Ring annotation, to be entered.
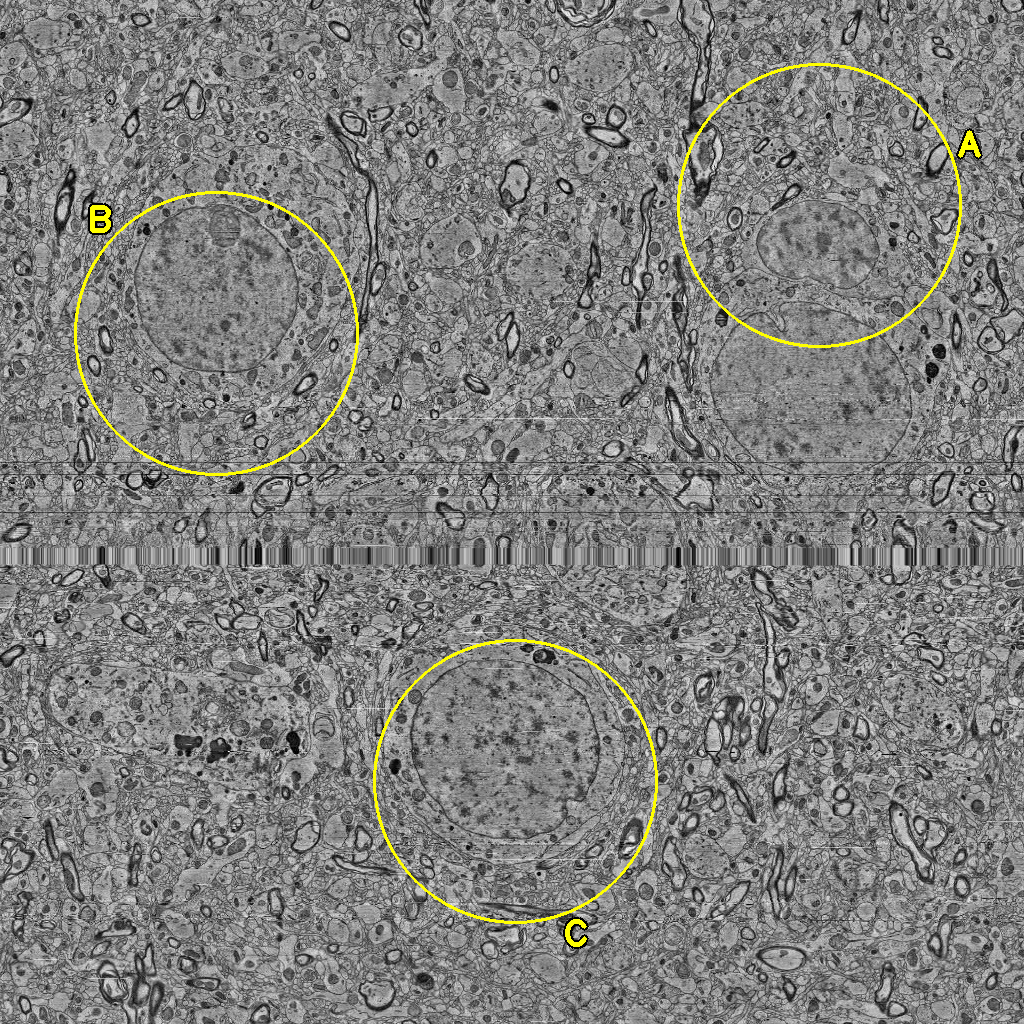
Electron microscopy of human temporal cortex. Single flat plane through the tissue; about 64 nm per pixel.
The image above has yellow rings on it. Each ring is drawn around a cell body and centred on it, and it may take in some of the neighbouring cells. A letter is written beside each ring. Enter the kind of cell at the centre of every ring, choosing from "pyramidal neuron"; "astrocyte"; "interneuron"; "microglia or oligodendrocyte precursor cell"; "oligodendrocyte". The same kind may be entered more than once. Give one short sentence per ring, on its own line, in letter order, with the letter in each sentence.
The ring marked A is centred on an oligodendrocyte.
The ring marked B is centred on an interneuron.
The ring marked C is centred on a pyramidal neuron.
